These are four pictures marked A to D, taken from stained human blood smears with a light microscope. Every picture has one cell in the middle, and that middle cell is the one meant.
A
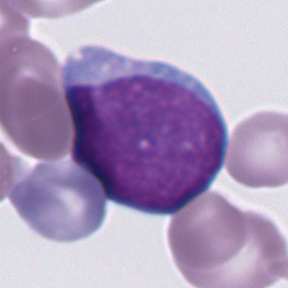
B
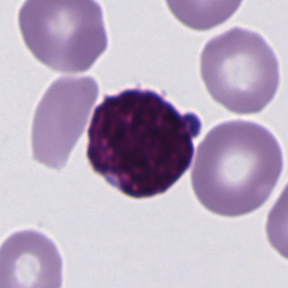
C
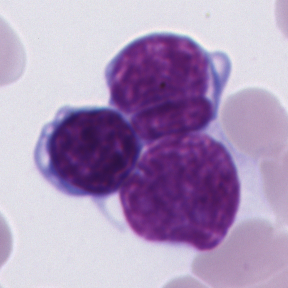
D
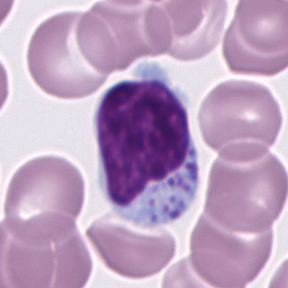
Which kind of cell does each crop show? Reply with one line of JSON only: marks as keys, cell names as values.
{"A": "myeloblast", "B": "myeloblast", "C": "myeloblast", "D": "large granular lymphocyte"}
